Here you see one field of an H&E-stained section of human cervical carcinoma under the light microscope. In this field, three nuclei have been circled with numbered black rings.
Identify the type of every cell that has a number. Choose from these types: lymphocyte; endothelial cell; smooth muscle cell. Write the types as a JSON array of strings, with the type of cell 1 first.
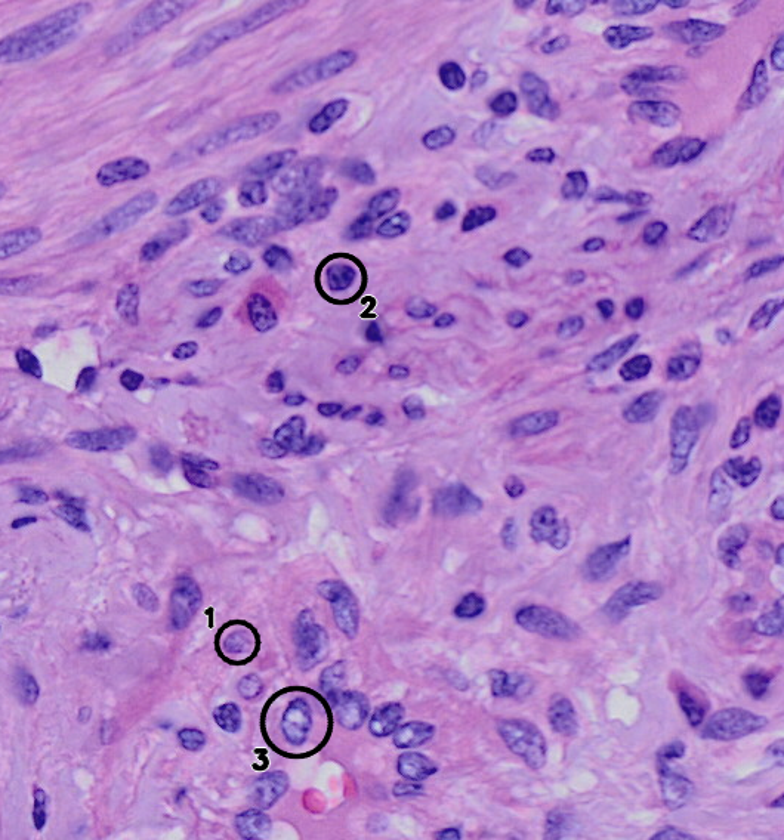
["smooth muscle cell", "lymphocyte", "endothelial cell"]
